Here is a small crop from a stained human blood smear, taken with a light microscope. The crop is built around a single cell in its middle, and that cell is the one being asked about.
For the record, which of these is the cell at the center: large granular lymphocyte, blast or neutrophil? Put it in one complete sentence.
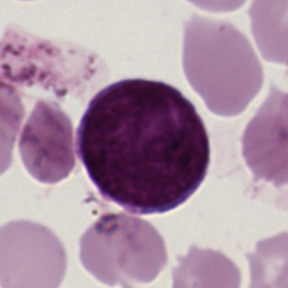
The cell that lies at the centre of the crop is a blast.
